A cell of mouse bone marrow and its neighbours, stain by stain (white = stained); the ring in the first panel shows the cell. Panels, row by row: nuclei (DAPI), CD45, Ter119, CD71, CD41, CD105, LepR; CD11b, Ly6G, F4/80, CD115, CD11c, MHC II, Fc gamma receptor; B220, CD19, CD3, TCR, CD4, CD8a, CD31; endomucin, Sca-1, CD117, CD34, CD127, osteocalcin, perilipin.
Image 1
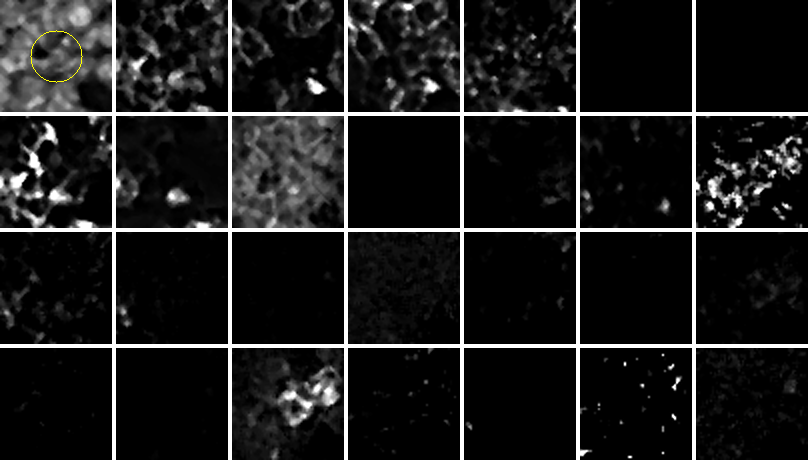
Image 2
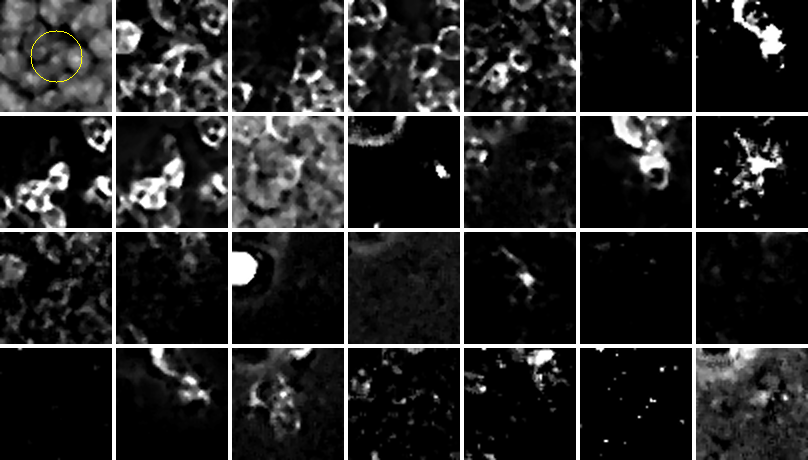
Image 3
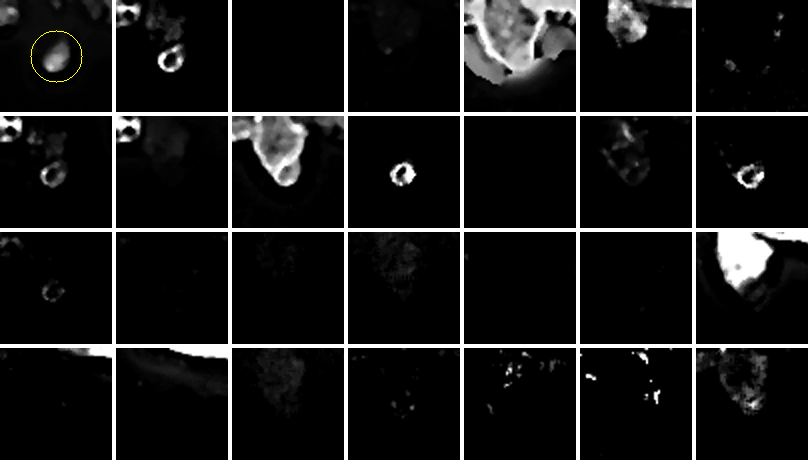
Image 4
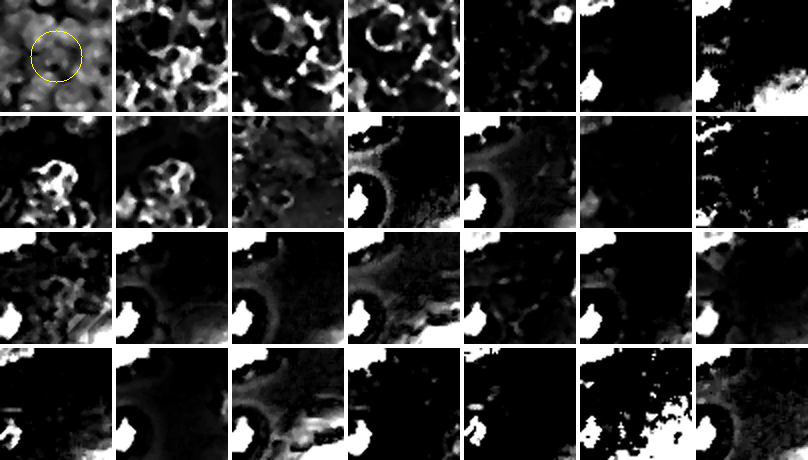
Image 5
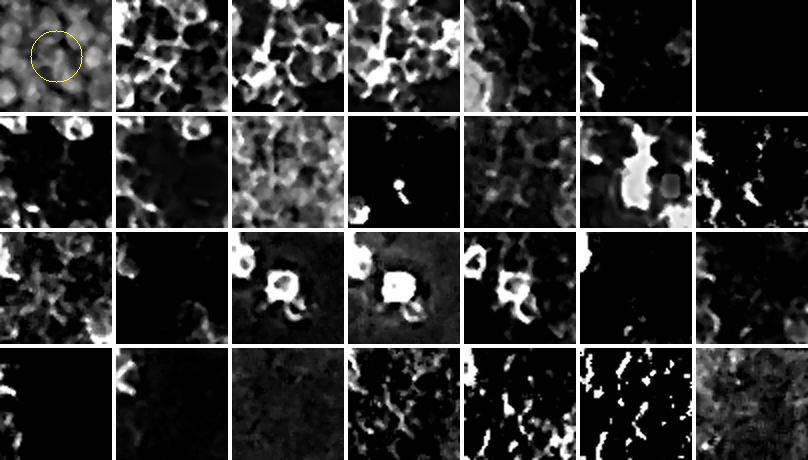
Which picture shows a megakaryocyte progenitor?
Picture 2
